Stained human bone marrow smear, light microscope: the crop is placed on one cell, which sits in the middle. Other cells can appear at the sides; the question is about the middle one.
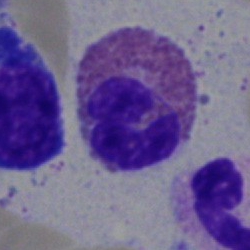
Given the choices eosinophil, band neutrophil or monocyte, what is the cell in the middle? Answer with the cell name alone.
eosinophil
